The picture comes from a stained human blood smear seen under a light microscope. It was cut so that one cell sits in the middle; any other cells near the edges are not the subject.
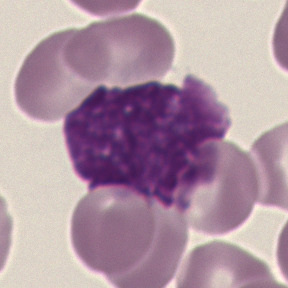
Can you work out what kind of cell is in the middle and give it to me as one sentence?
The cell that lies at the centre of the crop is a smudge cell.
